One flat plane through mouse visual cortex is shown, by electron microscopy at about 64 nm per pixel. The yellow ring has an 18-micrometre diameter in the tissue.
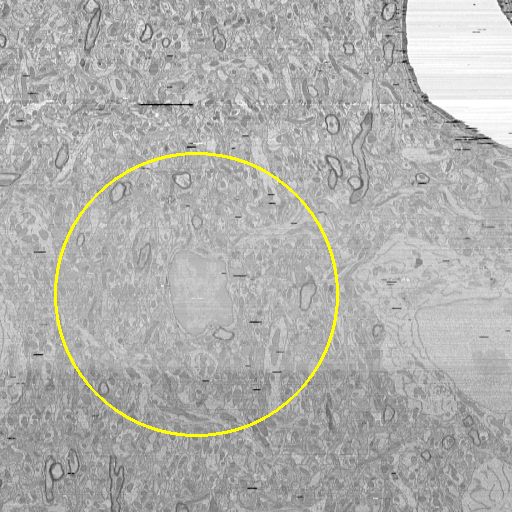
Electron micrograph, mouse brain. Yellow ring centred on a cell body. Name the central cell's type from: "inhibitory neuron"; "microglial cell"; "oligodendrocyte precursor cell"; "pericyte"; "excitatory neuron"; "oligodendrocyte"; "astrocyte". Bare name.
microglial cell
